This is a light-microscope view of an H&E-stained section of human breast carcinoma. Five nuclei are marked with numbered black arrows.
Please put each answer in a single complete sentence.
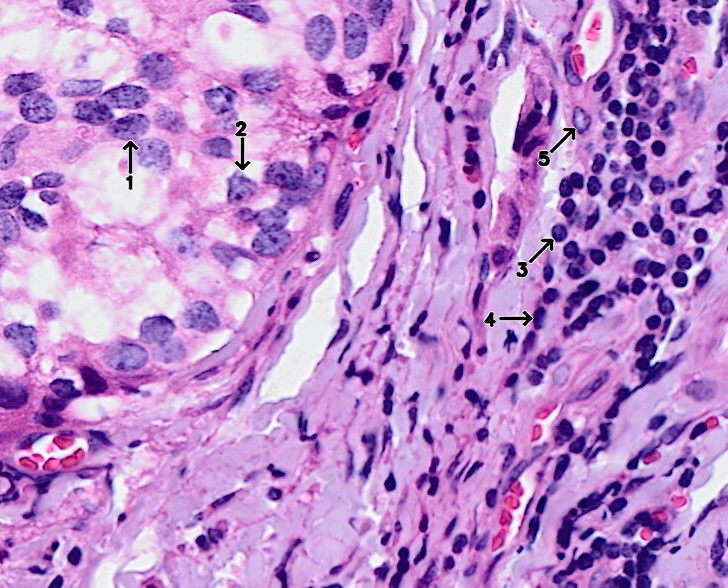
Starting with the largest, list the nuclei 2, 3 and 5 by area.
Largest first, the order by area is 2, 5, 3.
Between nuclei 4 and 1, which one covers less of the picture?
Nucleus 4 covers less area, with nucleus 1 about 3 times as large.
